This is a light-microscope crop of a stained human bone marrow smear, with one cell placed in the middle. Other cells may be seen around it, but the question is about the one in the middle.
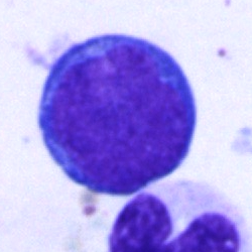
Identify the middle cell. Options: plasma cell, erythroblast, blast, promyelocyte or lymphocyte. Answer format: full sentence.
Positioned in the middle of the crop is a blast.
